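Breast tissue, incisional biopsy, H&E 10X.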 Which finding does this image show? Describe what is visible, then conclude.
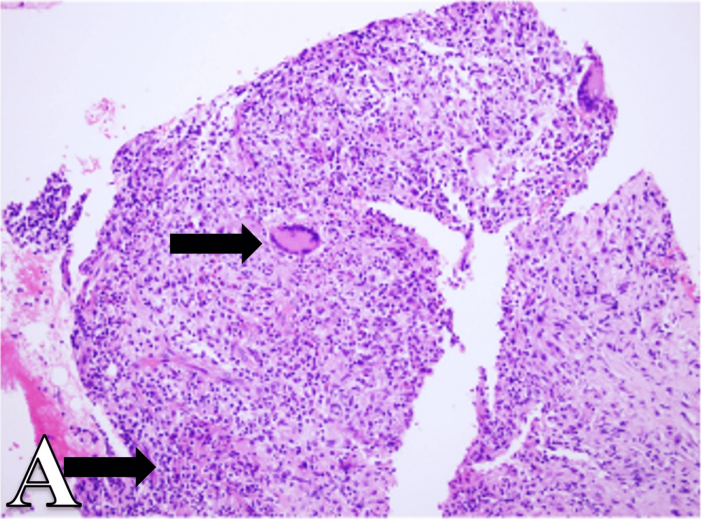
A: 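Dense sheets of inflammatory cells replace the tissue. Large multinucleated cells lie within the infiltrate.
Hence: granulomatous inflammation.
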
